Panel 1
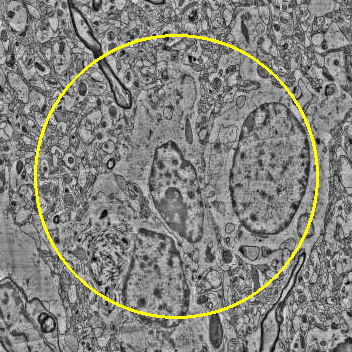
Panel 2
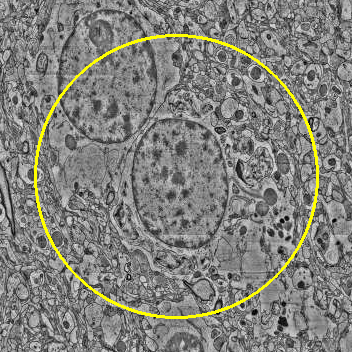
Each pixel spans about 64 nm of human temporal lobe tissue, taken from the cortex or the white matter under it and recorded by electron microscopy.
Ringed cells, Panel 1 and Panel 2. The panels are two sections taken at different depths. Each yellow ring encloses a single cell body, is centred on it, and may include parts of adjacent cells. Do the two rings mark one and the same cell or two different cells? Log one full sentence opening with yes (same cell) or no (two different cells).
No, the rings mark two cells rather than a single cell.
